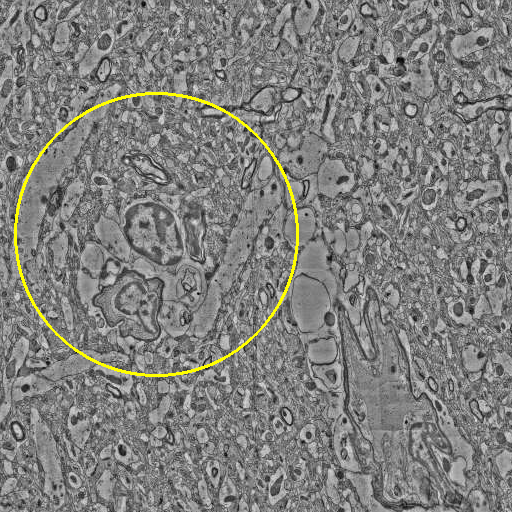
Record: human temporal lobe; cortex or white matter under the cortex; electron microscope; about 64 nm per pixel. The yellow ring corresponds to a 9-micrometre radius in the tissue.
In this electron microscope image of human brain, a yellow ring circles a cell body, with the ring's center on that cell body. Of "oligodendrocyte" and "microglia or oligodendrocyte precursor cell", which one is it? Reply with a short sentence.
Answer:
It is a microglial cell or oligodendrocyte precursor cell at the center of the ring.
